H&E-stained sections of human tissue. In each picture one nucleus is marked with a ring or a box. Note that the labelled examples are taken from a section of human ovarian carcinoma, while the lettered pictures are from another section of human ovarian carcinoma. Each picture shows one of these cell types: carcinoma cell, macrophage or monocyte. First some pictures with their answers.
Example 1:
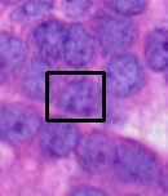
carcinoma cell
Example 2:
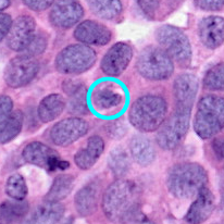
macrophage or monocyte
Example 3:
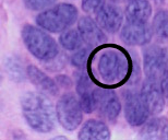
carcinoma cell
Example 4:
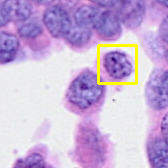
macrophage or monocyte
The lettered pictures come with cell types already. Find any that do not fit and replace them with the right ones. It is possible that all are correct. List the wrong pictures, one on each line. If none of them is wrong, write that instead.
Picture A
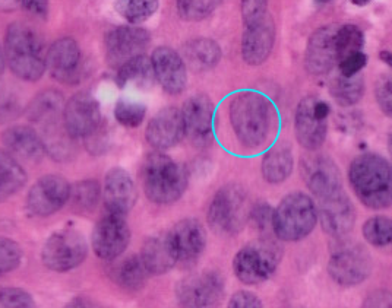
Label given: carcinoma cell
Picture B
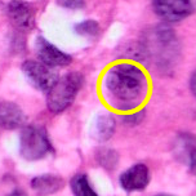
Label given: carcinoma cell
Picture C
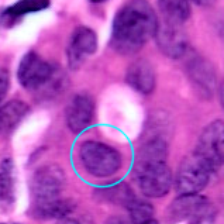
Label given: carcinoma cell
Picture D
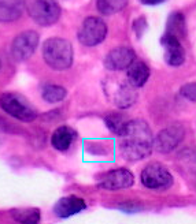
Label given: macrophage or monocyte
Every label is right.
